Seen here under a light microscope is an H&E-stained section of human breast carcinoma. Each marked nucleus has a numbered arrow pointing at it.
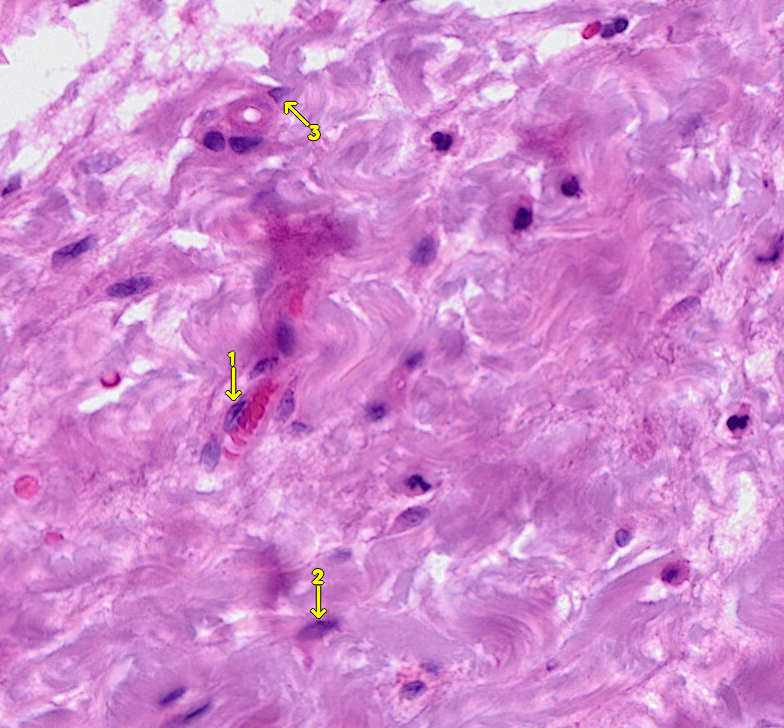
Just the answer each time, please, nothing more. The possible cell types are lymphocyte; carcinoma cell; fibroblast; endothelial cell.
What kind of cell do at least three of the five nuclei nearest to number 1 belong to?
fibroblast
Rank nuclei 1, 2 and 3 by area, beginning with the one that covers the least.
3, 1, 2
